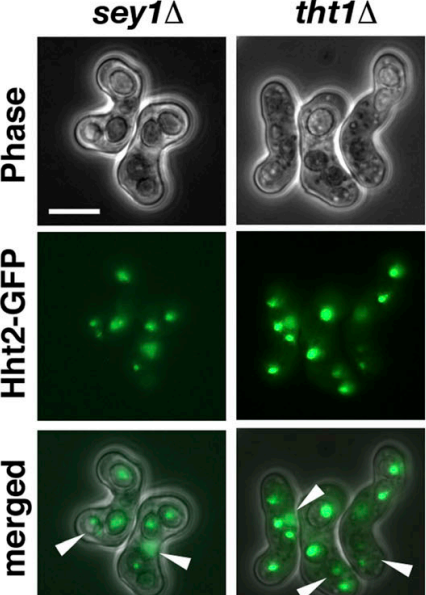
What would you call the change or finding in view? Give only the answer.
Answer: Unequal and inaccurate spore formation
